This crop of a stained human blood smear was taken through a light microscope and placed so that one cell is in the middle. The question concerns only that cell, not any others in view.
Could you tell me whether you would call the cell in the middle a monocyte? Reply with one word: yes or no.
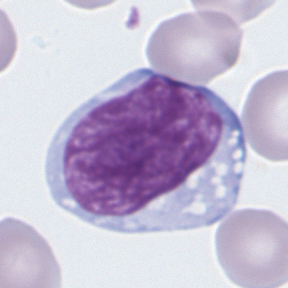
no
